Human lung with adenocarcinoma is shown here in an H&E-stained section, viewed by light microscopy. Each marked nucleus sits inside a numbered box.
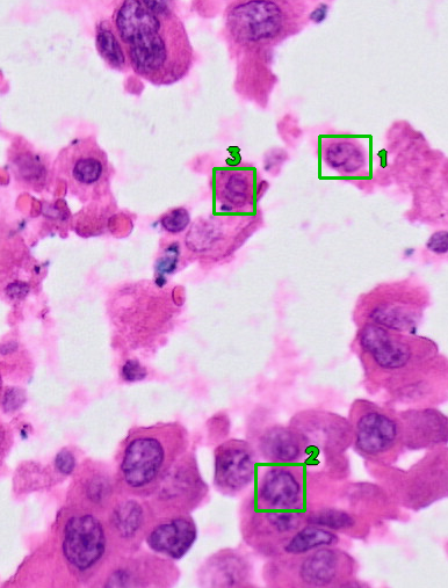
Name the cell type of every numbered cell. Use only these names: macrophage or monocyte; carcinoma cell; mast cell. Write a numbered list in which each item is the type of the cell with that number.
1. macrophage or monocyte
2. carcinoma cell
3. macrophage or monocyte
